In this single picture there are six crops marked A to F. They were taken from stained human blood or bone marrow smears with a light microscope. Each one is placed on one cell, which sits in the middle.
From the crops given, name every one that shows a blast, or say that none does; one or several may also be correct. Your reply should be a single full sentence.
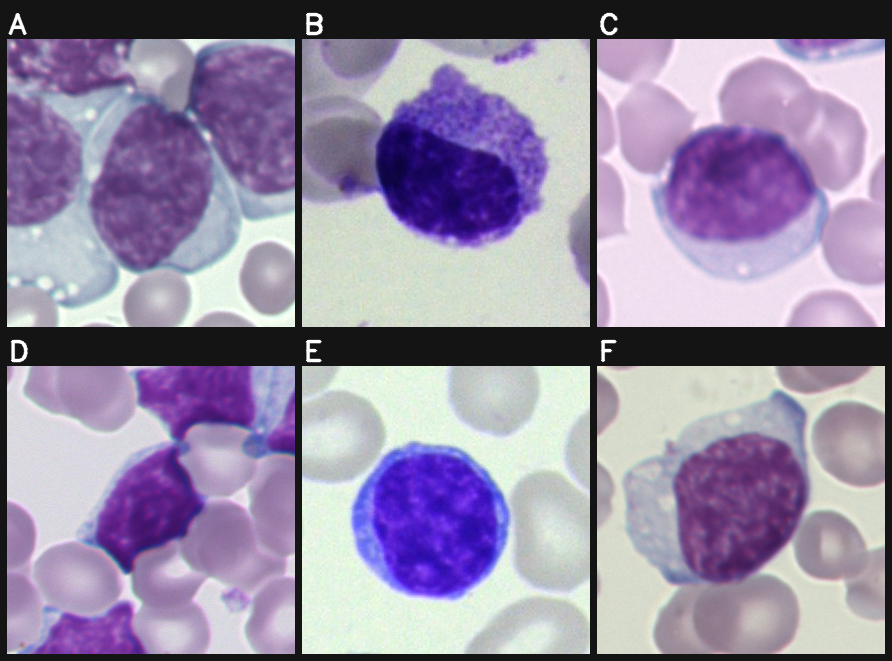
The cells marked A, C and F are blasts.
